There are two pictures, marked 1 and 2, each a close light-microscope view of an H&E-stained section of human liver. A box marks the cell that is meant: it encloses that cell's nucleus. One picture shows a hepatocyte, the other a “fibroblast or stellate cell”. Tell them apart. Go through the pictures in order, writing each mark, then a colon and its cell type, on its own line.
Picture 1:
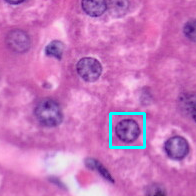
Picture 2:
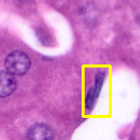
1: hepatocyte
2: fibroblast or stellate cell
